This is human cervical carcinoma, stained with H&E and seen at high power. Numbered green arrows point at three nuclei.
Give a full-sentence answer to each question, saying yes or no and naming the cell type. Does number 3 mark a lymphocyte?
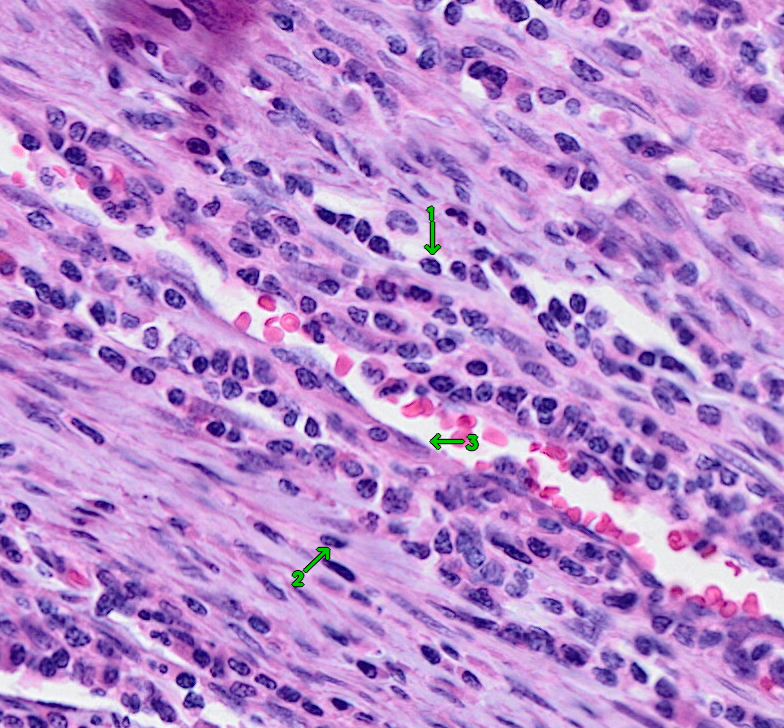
No, rather than a lymphocyte, cell number 3 is an endothelial cell.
